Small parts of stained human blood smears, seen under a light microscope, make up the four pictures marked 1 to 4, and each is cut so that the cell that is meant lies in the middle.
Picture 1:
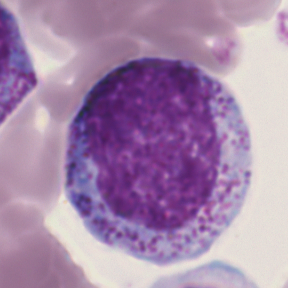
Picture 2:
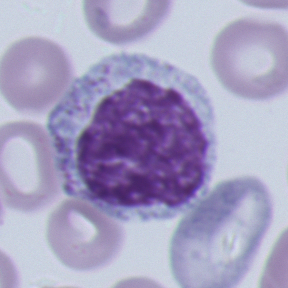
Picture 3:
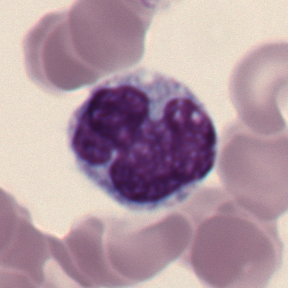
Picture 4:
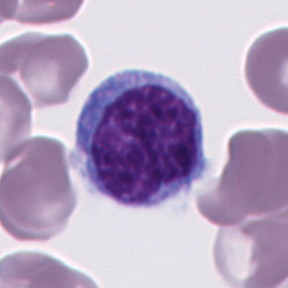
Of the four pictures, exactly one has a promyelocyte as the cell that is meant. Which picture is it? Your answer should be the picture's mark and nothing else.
1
